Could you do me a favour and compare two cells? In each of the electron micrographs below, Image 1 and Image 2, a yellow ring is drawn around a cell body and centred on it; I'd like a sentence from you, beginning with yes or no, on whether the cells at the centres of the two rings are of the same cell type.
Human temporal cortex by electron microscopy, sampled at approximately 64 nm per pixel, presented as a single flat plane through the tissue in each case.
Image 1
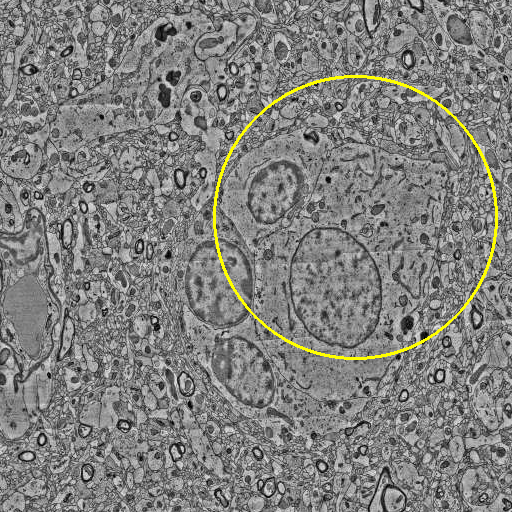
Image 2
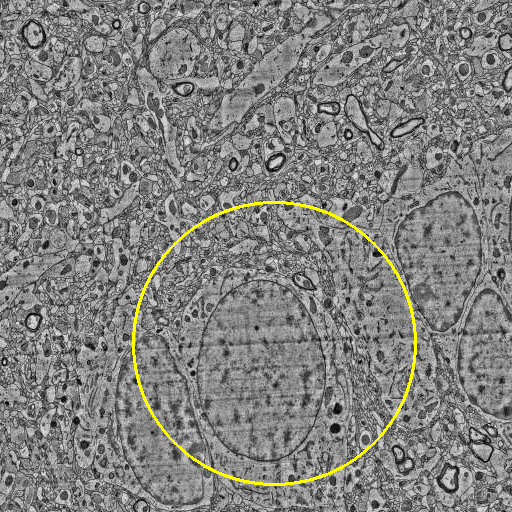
Yes, the two cells are of the same cell type.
